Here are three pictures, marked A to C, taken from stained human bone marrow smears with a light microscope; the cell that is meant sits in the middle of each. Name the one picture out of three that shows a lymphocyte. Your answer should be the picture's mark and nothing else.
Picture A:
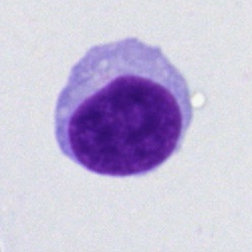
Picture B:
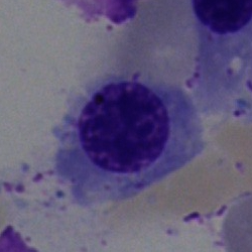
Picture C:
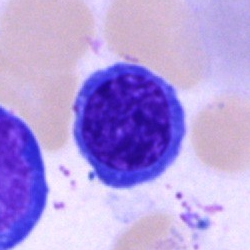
A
